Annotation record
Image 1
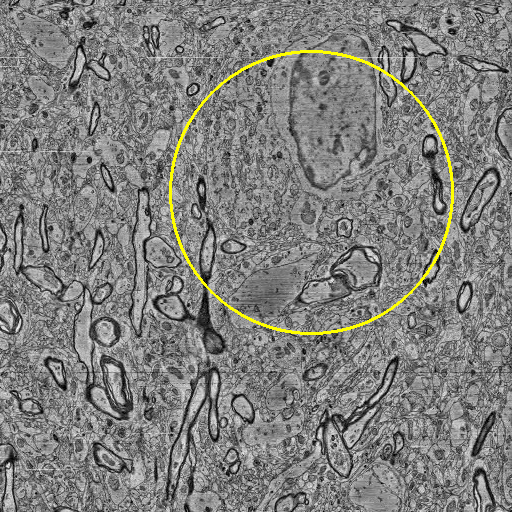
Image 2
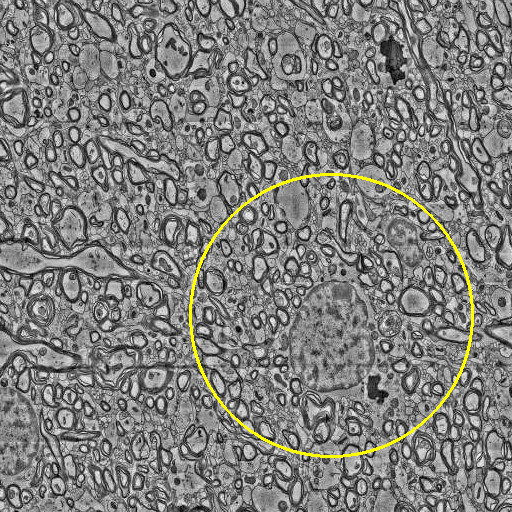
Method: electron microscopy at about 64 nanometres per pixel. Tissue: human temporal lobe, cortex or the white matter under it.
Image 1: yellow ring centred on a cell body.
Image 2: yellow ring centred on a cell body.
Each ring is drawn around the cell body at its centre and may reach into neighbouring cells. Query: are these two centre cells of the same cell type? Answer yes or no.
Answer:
no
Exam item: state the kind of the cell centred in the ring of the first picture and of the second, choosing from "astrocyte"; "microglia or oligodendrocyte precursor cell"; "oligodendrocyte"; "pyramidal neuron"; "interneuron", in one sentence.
The first picture shows a microglial cell or oligodendrocyte precursor cell at the ring centre and the second shows an oligodendrocyte.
